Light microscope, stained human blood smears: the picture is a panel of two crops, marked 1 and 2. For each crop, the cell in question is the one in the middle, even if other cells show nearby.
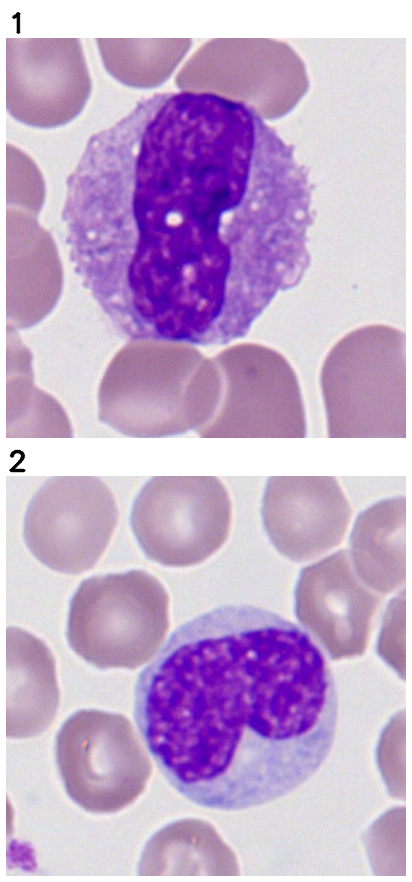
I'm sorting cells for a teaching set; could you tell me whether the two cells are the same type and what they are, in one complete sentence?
Yes, the same answer goes for both crops, namely monocytes.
